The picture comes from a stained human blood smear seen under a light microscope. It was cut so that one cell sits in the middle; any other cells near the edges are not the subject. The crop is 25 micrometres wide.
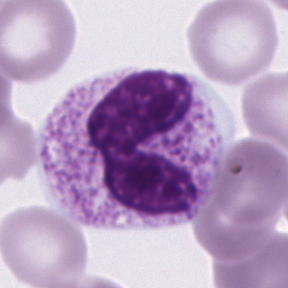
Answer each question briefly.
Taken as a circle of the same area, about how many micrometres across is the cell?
15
